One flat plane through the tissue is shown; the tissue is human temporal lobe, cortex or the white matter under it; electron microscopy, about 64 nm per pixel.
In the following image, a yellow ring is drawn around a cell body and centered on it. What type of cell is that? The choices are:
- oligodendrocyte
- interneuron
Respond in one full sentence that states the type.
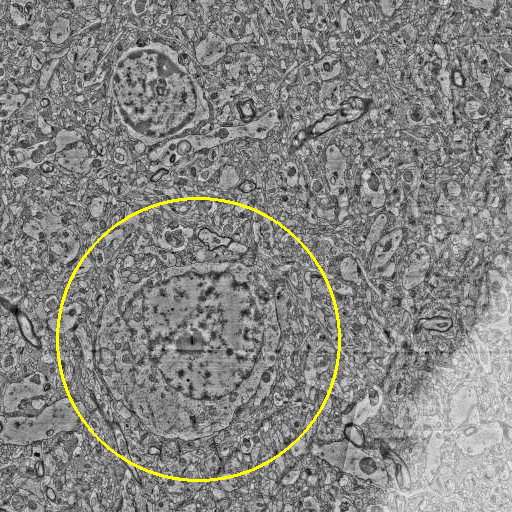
The cell at the center of the yellow ring in the image is an interneuron.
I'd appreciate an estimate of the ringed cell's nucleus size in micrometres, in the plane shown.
About 8 micrometres across, as seen in this plane.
